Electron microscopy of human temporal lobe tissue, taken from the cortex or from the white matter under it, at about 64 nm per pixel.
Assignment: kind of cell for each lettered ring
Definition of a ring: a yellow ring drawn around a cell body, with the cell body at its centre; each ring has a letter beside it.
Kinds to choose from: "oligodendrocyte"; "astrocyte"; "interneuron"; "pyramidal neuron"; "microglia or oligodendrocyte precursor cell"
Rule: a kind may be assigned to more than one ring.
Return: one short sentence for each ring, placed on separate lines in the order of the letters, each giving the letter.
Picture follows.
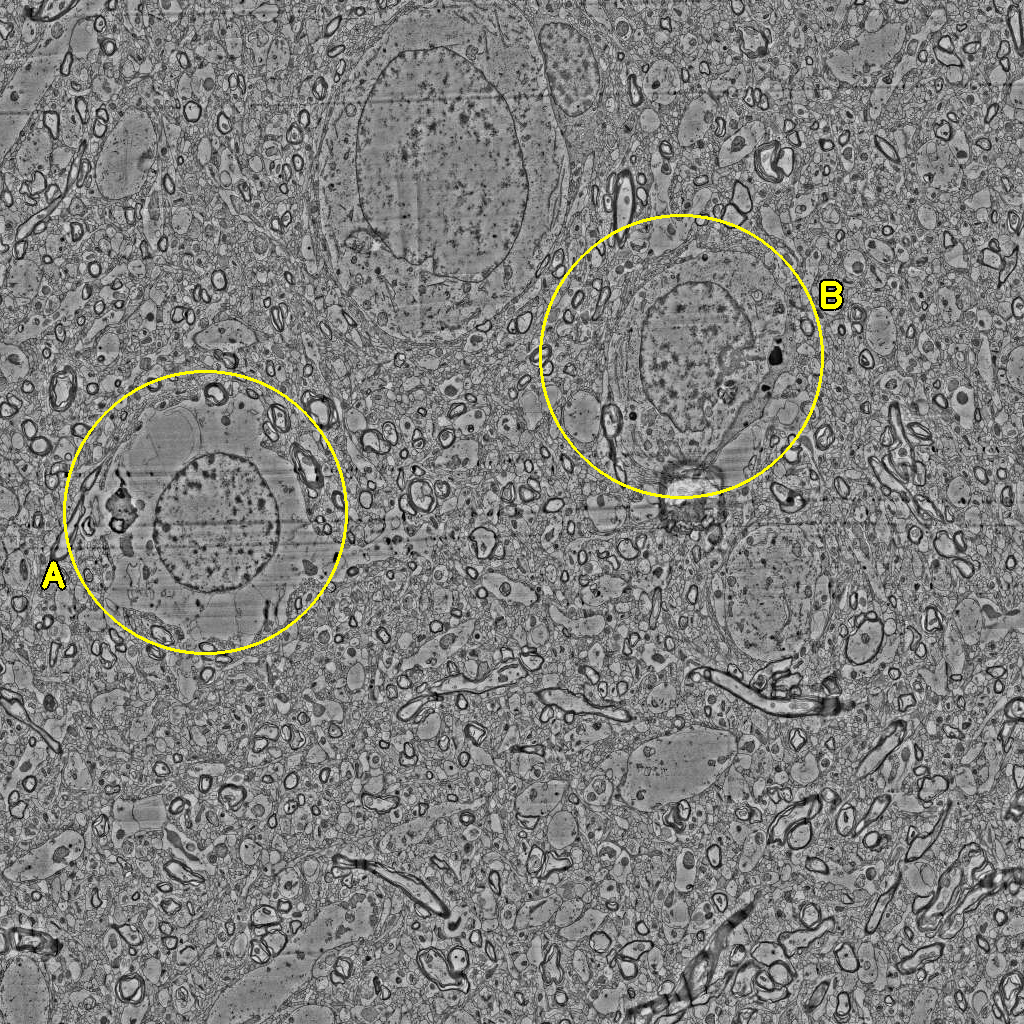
The ring marked A is centred on an astrocyte.
The ring marked B is centred on an interneuron.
